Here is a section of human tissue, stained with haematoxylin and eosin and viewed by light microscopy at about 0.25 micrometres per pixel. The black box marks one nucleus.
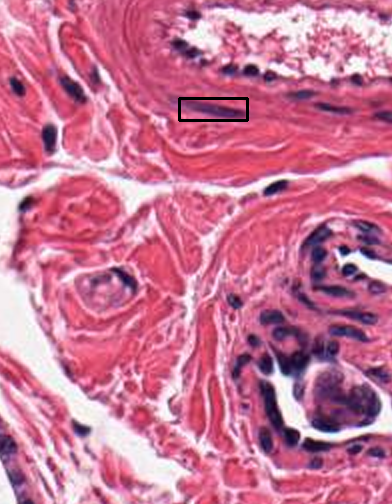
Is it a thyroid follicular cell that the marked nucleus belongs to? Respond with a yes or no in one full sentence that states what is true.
No, the marked nucleus does not sit within a thyroid follicular cell.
